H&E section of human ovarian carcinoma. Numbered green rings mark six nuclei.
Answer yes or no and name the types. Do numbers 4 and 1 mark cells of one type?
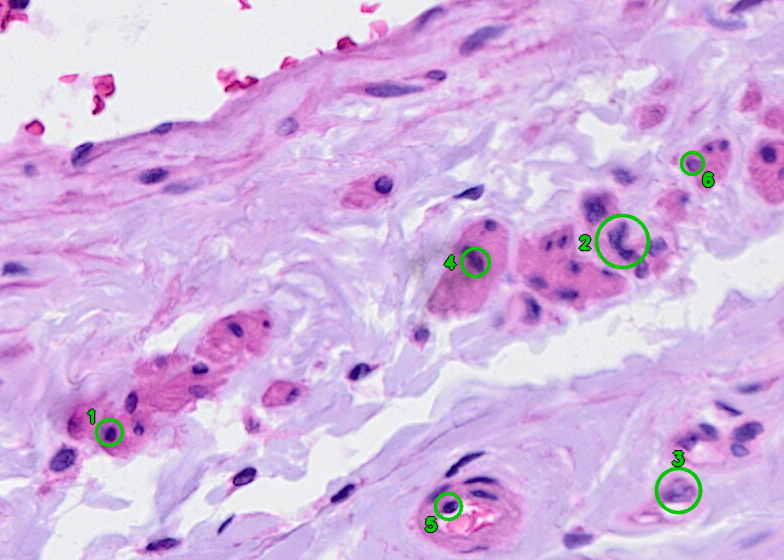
Yes, cell 4 is counted among the smooth muscle cells, as is cell 1.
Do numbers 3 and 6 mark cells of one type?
No, cell 3 is to be identified as an endothelial cell and cell 6 as a smooth muscle cell.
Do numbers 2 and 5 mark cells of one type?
Yes, it is as endothelial cells that cells 2 and 5 are both classified.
